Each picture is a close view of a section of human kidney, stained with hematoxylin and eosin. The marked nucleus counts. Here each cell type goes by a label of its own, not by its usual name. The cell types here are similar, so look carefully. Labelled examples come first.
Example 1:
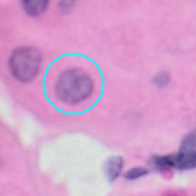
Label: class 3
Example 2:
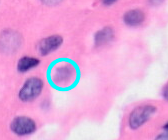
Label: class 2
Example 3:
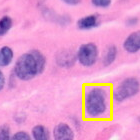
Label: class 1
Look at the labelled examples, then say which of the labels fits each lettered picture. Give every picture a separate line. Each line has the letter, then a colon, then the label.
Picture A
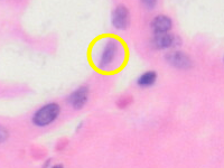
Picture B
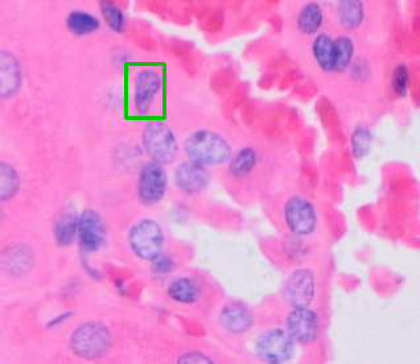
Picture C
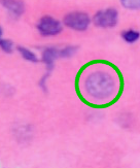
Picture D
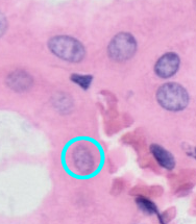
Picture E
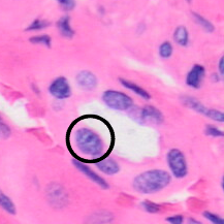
A: class 1
B: class 1
C: class 3
D: class 3
E: class 1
